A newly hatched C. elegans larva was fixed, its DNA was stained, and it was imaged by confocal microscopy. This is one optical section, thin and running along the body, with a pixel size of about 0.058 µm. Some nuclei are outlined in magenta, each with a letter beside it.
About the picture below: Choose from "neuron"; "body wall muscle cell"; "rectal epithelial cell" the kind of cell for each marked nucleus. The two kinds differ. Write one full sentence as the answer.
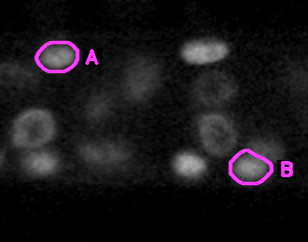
A is in a body wall muscle cell and B is in a neuron.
